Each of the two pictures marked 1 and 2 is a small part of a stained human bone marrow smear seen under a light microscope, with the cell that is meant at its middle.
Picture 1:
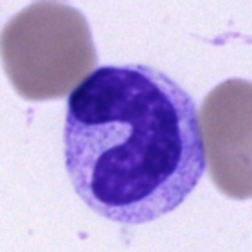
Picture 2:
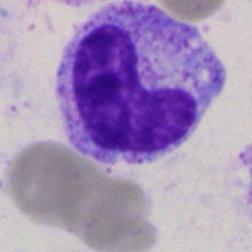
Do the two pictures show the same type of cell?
no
